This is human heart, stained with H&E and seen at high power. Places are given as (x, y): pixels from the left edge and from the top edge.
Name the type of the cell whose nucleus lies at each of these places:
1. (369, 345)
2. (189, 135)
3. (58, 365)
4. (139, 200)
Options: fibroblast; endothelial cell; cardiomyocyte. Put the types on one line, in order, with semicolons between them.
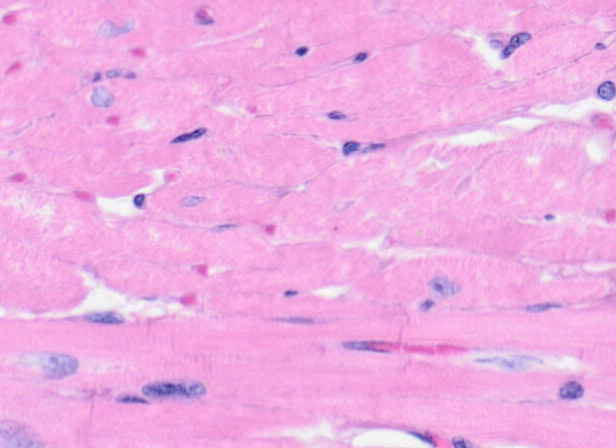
endothelial cell; endothelial cell; cardiomyocyte; endothelial cell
